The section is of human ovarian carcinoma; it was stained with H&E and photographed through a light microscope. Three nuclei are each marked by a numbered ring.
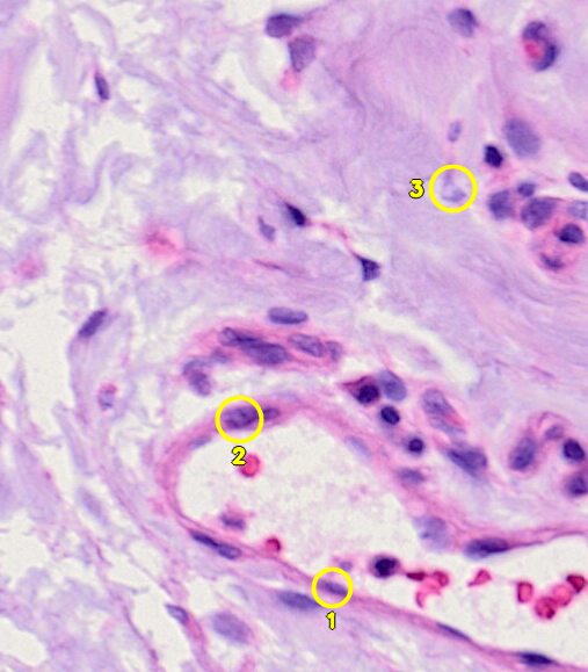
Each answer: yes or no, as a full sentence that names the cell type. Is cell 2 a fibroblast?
No, sorry, the cell labelled 2 is not a fibroblast; it is an endothelial cell.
